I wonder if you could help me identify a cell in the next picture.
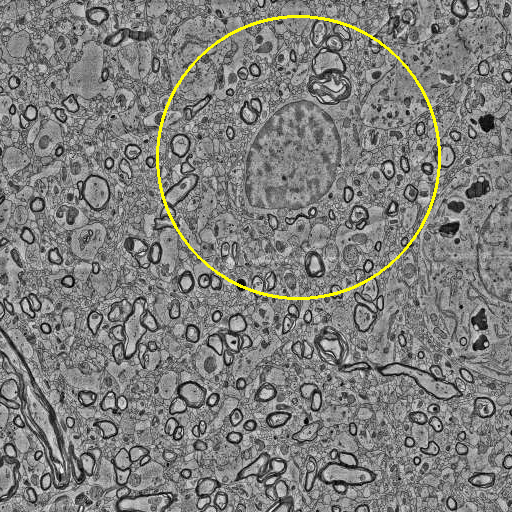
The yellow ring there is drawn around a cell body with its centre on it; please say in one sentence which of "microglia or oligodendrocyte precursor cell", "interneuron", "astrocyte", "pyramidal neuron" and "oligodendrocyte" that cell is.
The yellow ring is centred on an oligodendrocyte.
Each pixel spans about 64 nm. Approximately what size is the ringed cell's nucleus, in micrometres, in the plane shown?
Approximately 7 micrometres long and 6 micrometres wide, in this plane.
